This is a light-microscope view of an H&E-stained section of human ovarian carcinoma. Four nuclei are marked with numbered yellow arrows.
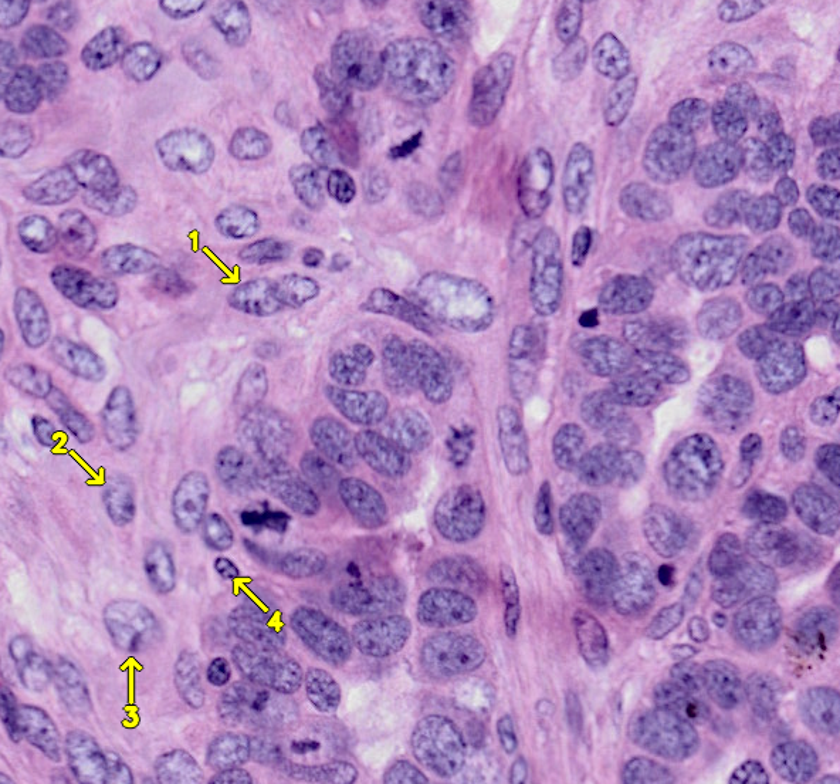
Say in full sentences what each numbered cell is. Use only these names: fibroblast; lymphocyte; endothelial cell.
Cells 1, 2 and 3 are fibroblasts. Cell 4 is a lymphocyte.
